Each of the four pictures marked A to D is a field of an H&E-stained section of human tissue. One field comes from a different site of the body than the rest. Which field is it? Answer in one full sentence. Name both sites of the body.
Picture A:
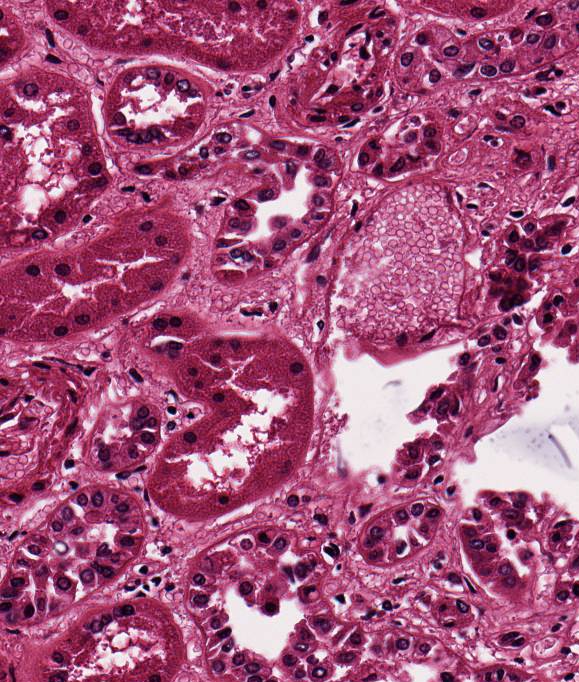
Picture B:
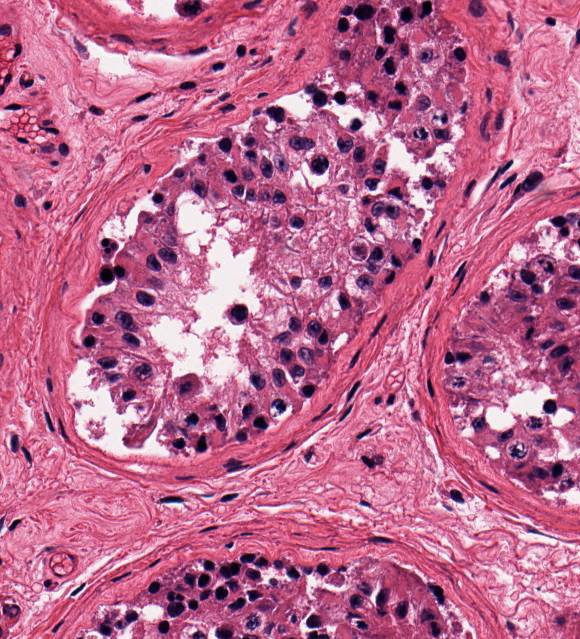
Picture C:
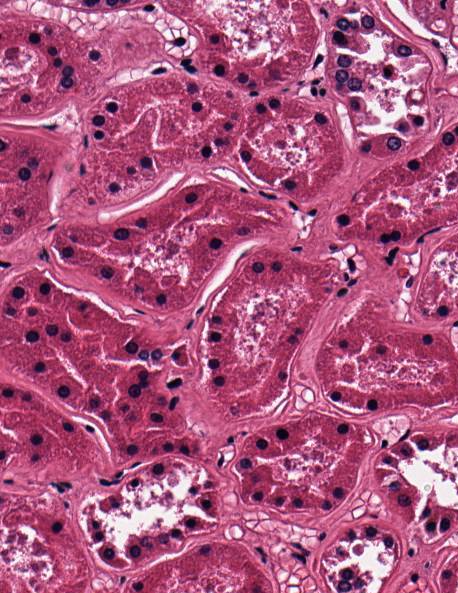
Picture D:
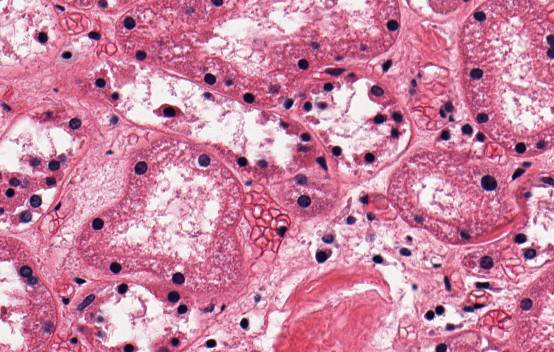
All pictures except B come from the renal cortex; picture B comes from the testis.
